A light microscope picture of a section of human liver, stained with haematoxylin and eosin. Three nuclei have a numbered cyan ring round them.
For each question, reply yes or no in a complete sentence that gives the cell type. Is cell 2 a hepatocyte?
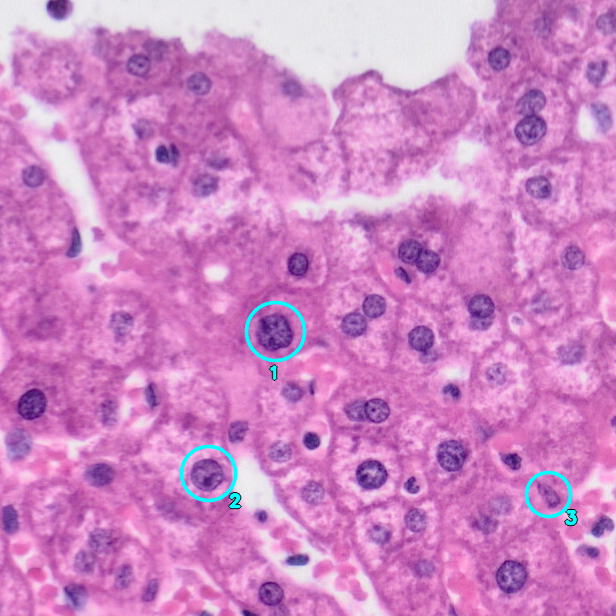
Yes, the cell that the number 2 labels is a hepatocyte.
